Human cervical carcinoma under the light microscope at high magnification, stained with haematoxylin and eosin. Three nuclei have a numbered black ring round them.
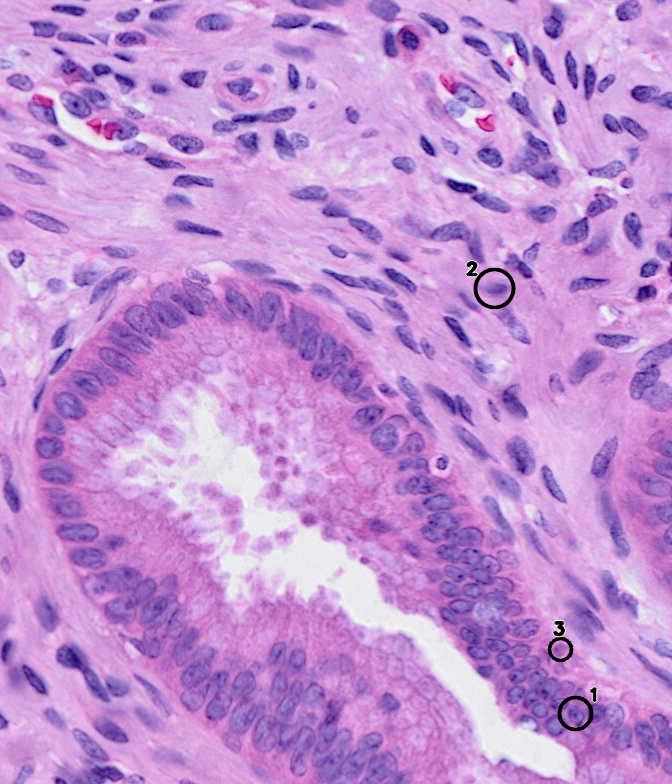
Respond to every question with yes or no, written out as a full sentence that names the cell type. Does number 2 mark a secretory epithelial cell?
No, the cell numbered 2 is a fibroblast rather than a secretory epithelial cell.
